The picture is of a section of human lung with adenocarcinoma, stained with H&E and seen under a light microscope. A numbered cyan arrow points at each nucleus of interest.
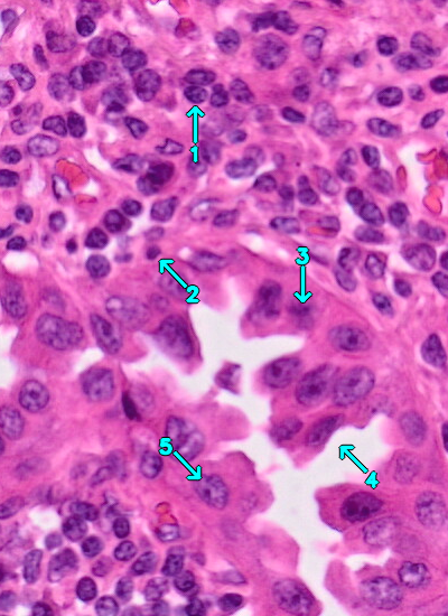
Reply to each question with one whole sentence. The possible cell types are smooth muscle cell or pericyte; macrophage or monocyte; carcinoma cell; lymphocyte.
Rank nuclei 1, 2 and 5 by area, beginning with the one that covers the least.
By area, going up from the smallest, they rank 2, 1, 5.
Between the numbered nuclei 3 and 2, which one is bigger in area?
Of the two, number 3 is bigger and takes up about 3 times the area of number 2.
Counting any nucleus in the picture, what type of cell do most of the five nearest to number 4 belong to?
Of the five nuclei nearest to number 4, most belong to carcinoma cells.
